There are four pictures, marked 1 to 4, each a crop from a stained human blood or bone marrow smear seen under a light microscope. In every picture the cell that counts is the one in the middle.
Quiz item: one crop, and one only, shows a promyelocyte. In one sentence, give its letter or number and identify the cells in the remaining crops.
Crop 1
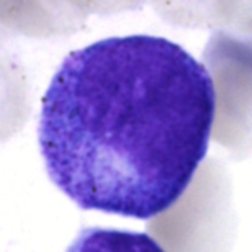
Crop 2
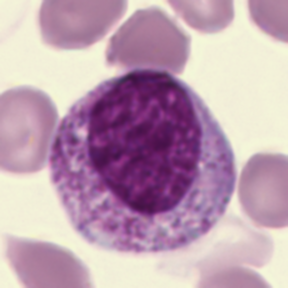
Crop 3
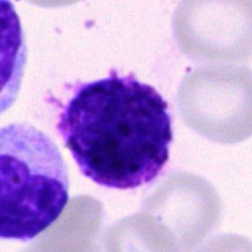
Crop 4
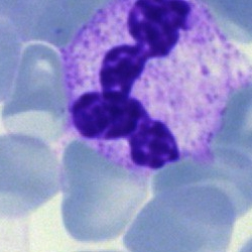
In the case of crop 1, the cell is a promyelocyte, while crop 2 is a myelocyte, crop 3 is a basophil and crop 4 is a segmented neutrophil.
